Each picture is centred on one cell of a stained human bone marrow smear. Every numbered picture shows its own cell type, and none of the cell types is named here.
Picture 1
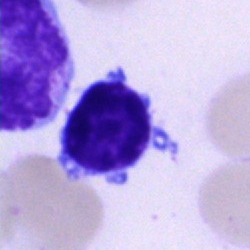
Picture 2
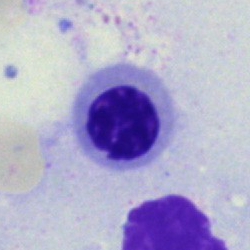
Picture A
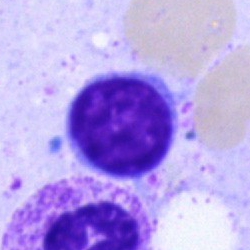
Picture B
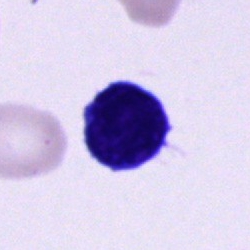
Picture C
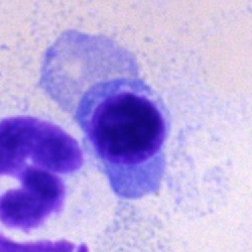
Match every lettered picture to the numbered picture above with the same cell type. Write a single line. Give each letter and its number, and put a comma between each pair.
A 1, B 1, C 2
